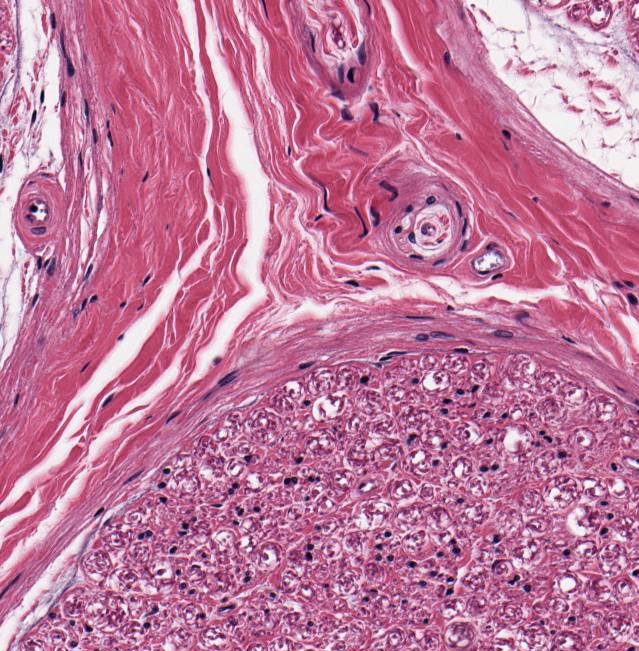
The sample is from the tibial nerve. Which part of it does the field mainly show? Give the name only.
epineurium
